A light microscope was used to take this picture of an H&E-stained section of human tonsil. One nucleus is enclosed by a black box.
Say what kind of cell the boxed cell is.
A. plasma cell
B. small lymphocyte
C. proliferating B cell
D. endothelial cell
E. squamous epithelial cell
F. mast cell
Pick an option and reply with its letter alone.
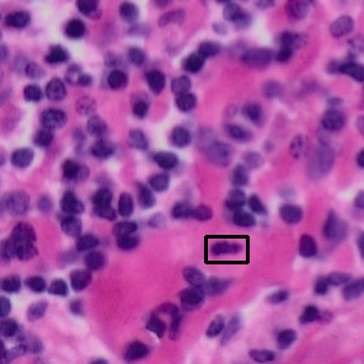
F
